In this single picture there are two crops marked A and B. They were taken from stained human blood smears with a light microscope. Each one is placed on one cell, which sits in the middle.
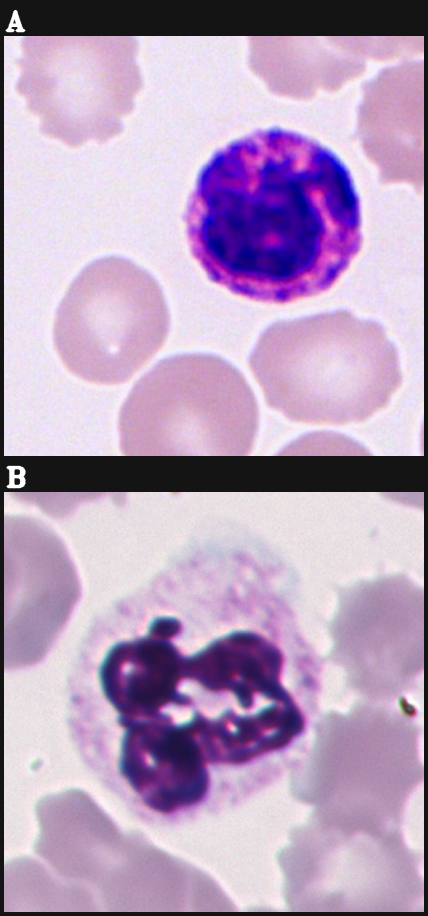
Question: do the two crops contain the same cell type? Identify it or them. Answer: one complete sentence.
No, crop A and crop B contain, respectively, a basophil and a neutrophil.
